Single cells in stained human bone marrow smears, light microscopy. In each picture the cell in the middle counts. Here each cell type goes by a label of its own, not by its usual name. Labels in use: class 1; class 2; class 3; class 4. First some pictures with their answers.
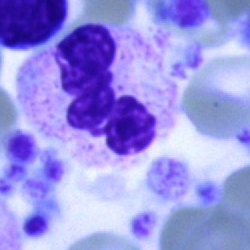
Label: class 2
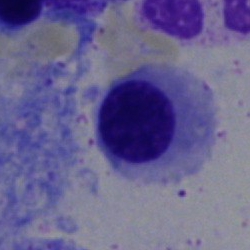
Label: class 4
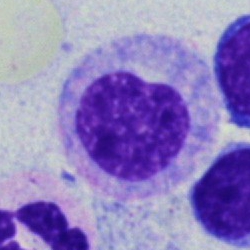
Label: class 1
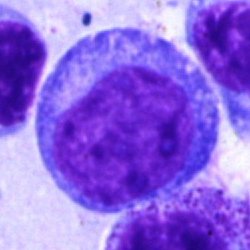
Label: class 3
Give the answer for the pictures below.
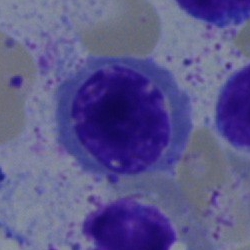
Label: class 4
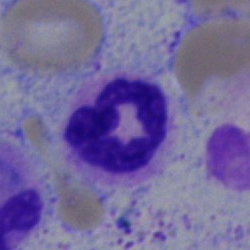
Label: class 2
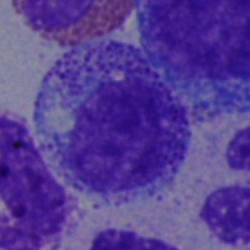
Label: class 3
